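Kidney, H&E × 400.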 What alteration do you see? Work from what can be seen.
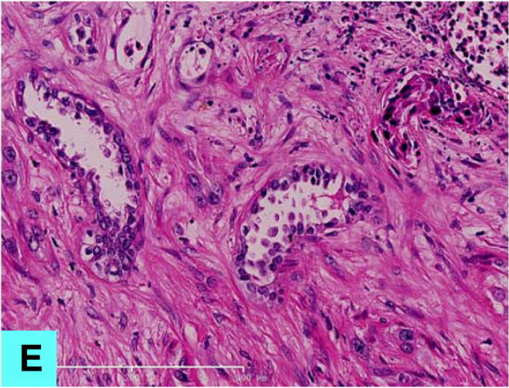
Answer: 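Tubules lined by cells whose nuclei bulge into the lumen. Tubules lie within a pink fibrous stroma.
Conclusion: Hobnail nuclei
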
